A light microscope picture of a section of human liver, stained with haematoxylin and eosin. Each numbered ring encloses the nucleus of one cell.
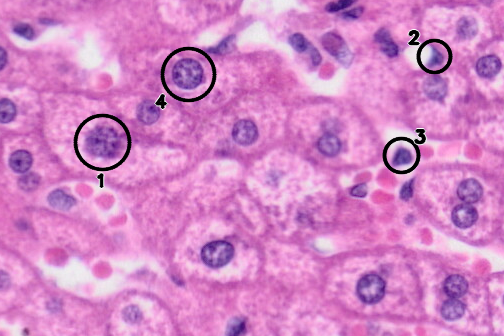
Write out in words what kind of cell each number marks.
Cell 1 is a hepatocyte, cell 2 is an endothelial cell, cell 3 is a lymphocyte and cell 4 is a hepatocyte.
